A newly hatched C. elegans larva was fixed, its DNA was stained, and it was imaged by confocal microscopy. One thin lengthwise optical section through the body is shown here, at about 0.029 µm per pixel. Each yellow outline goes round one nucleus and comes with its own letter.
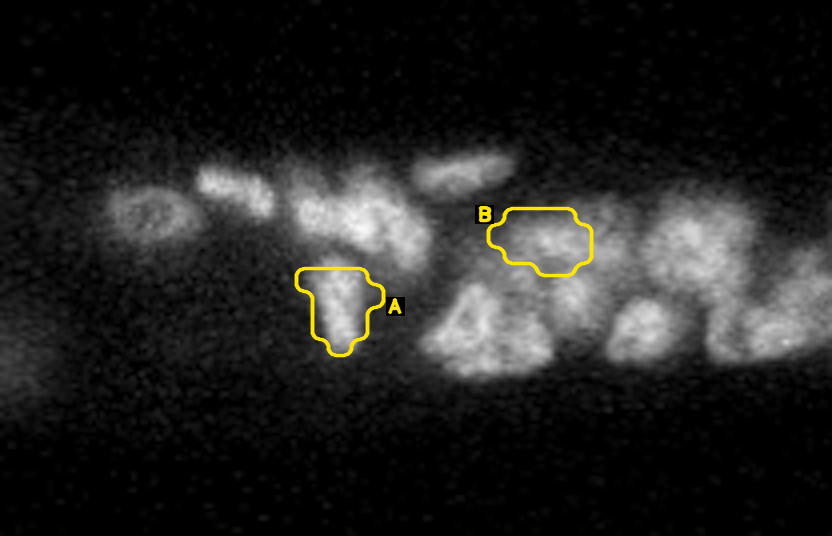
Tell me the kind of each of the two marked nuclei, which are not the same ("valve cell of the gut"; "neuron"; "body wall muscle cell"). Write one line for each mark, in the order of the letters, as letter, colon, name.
A: valve cell of the gut
B: neuron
